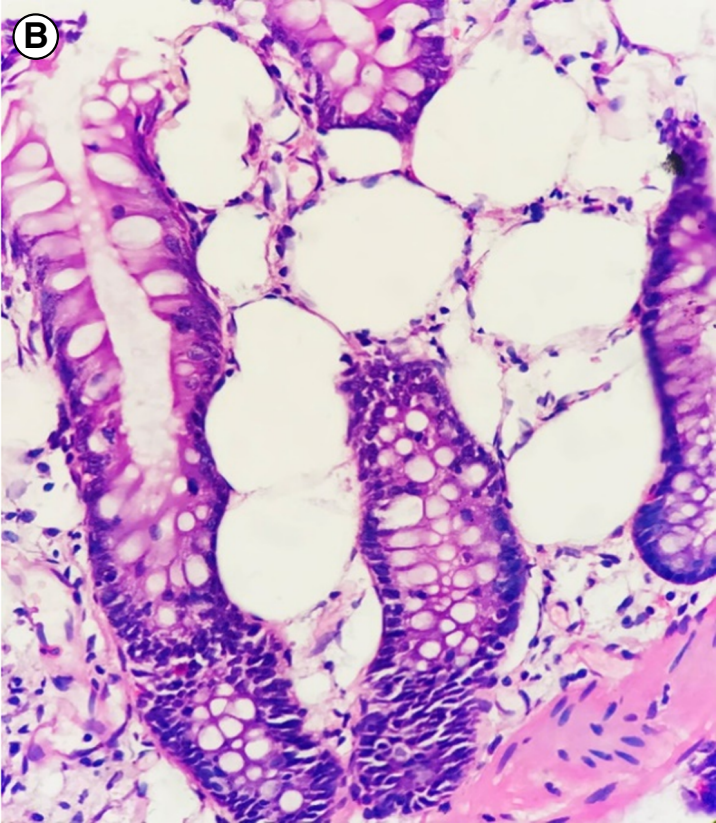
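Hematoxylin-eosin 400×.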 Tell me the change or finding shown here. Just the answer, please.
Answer: The optically empty vacuoles repress and distort the cryptic contours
